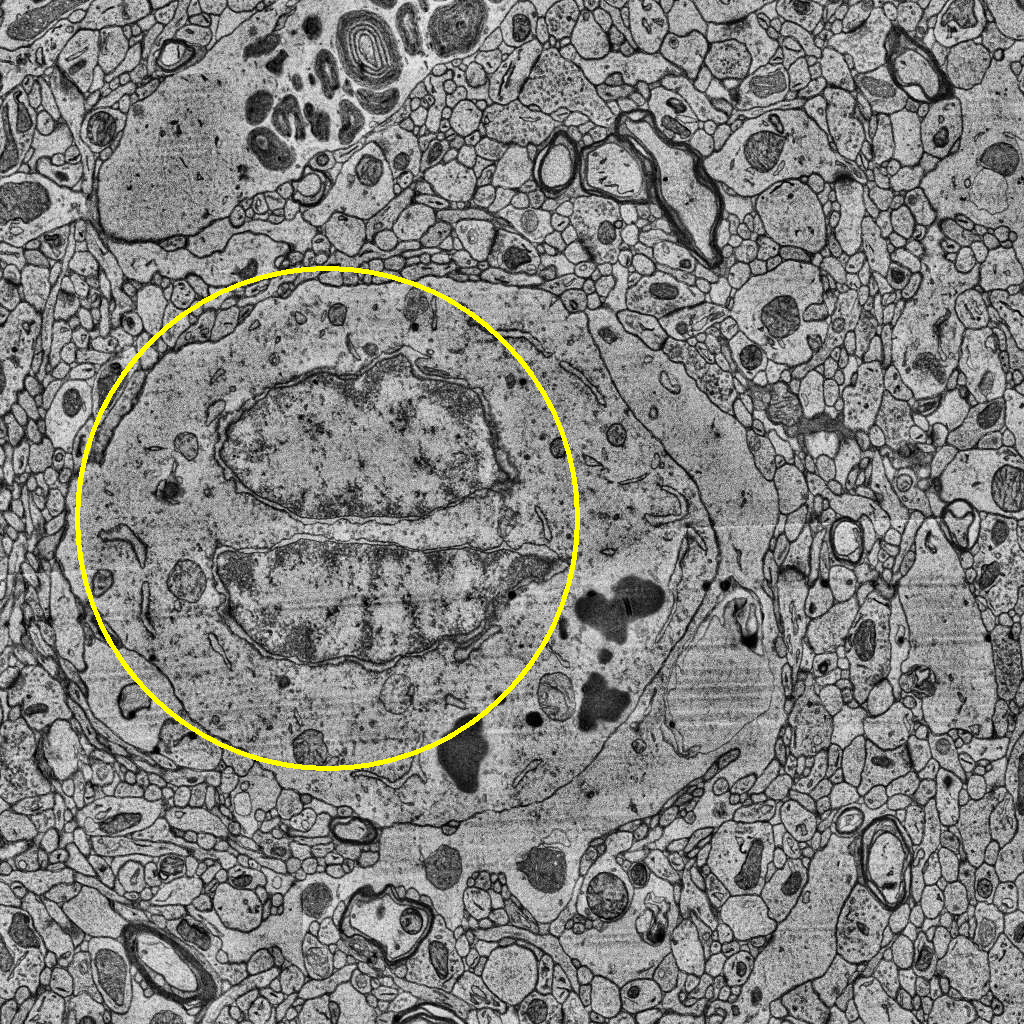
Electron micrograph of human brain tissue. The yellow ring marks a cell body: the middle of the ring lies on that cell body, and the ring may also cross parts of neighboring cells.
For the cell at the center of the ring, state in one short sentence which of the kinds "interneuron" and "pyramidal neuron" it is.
This ring's center lies on an interneuron.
